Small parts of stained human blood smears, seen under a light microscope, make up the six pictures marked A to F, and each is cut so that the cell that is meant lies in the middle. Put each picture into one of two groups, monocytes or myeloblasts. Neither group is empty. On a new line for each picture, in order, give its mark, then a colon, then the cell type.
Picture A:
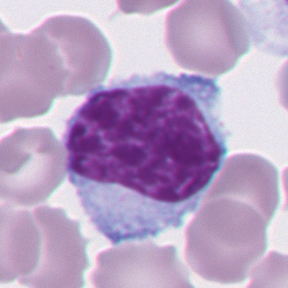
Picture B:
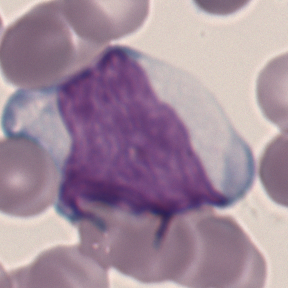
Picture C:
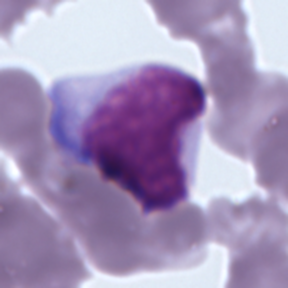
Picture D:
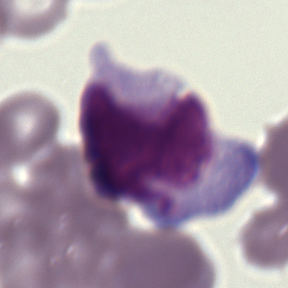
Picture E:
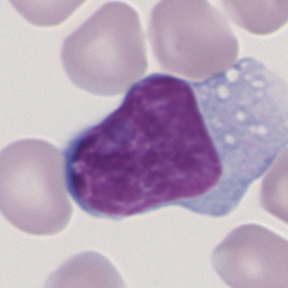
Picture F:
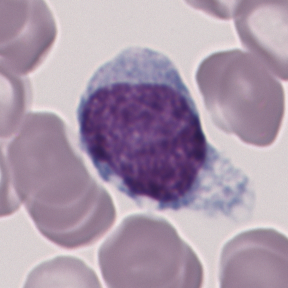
A: monocyte
B: myeloblast
C: myeloblast
D: myeloblast
E: myeloblast
F: monocyte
